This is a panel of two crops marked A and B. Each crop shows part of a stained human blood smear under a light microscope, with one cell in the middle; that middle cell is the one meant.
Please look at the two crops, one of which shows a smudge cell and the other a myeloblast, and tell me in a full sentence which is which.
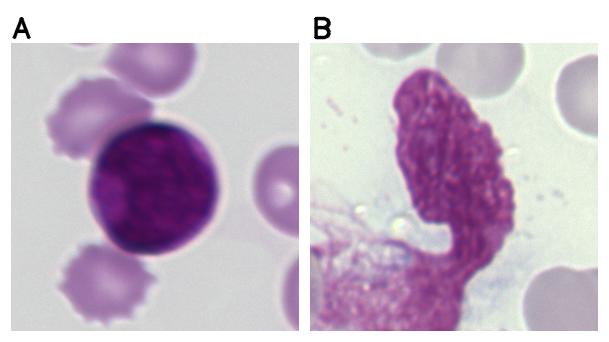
The cell of crop A is a myeloblast; that of crop B is a smudge cell.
